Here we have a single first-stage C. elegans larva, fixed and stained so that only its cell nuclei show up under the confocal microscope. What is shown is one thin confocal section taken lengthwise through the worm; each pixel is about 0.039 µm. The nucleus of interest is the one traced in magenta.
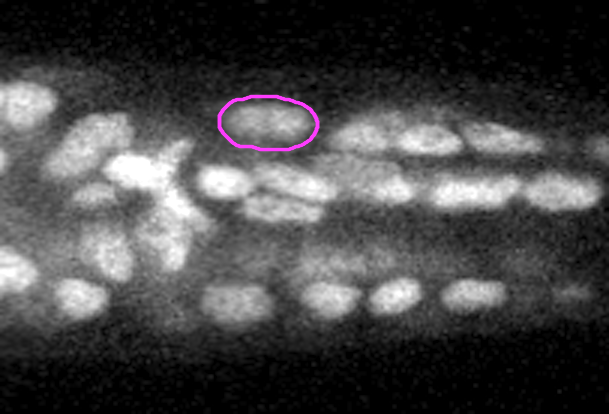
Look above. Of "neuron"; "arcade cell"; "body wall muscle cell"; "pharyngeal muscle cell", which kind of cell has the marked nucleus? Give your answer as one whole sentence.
It belongs to a body wall muscle cell.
